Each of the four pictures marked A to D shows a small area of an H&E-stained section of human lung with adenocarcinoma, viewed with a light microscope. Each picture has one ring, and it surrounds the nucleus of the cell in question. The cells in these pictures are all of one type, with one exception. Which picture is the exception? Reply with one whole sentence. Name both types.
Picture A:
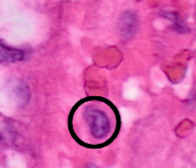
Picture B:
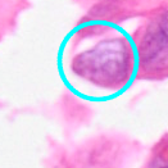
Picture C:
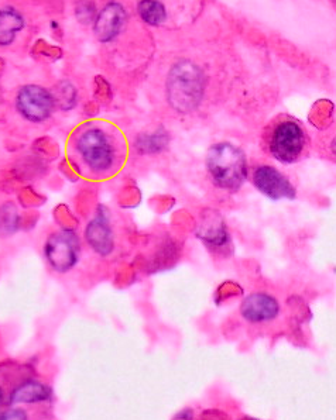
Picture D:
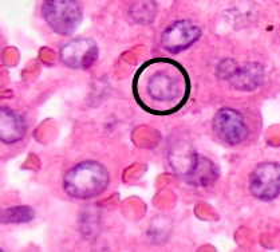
All pictures except B show “macrophages or monocytes”; picture B shows a carcinoma cell.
